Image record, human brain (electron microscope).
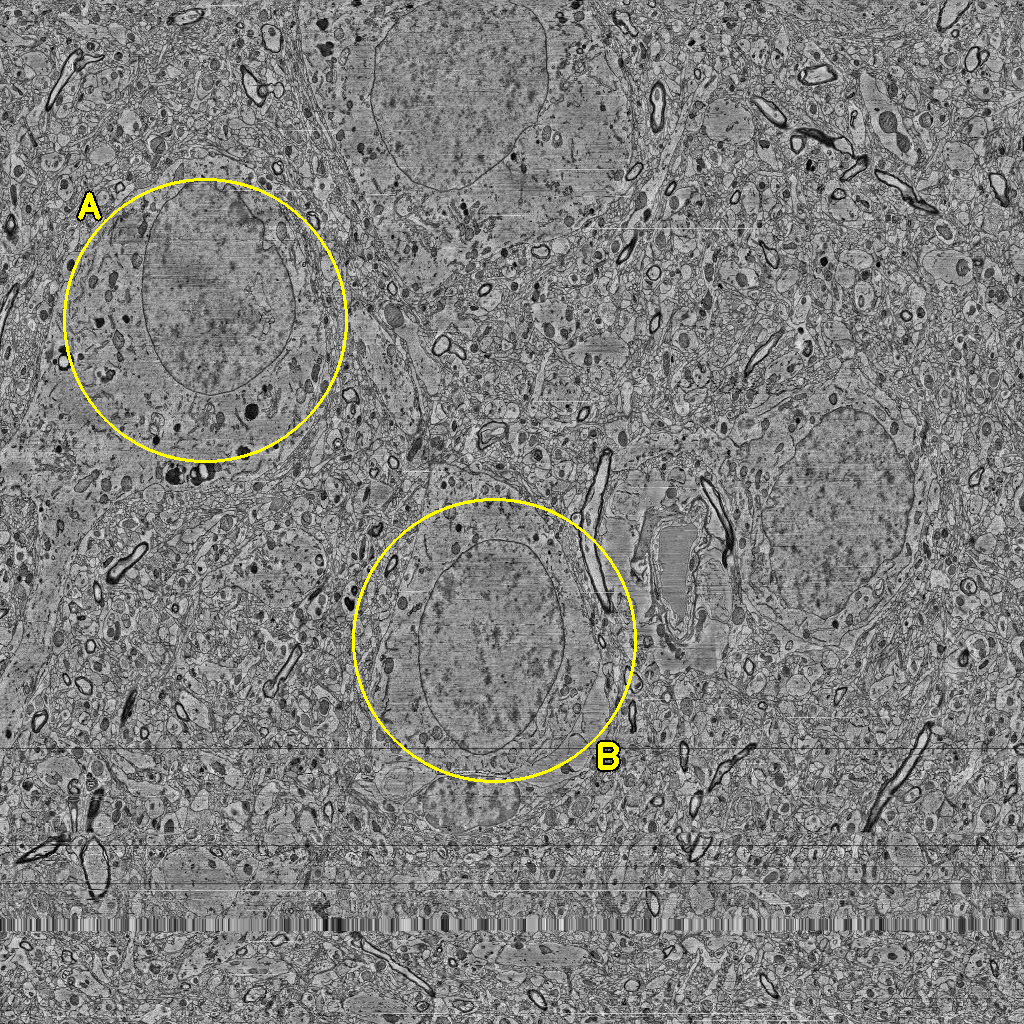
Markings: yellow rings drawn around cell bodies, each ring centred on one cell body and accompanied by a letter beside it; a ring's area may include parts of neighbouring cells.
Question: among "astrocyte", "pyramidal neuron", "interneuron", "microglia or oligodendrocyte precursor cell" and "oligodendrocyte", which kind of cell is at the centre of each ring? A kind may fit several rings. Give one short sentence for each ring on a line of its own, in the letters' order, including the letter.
Ring A is centred on the cell body of a pyramidal neuron.
Ring B is centred on the cell body of a pyramidal neuron.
